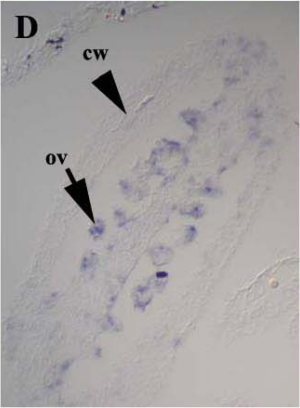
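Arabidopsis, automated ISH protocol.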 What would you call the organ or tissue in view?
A: Developing siliques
